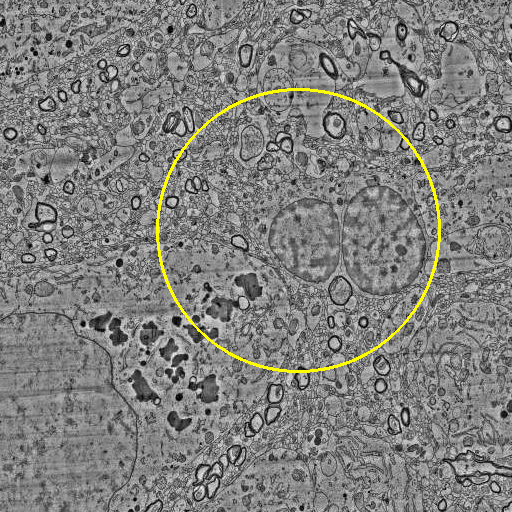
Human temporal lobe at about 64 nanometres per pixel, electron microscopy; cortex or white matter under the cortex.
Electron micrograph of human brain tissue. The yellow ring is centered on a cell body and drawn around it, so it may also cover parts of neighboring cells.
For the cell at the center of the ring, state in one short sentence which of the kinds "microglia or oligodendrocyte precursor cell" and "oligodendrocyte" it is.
This ring is centered on an oligodendrocyte.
